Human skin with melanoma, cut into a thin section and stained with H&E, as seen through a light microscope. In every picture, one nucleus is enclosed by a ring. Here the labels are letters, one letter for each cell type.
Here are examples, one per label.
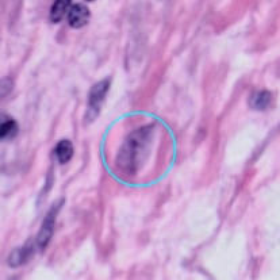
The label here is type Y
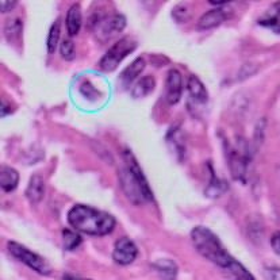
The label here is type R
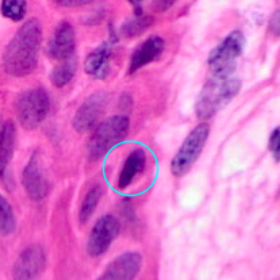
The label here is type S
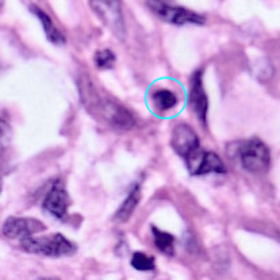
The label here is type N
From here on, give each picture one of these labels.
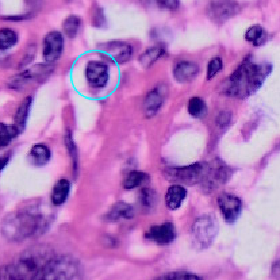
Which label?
type N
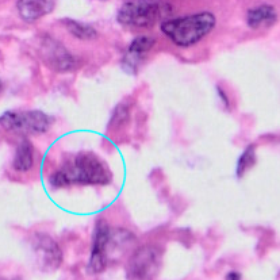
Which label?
type R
